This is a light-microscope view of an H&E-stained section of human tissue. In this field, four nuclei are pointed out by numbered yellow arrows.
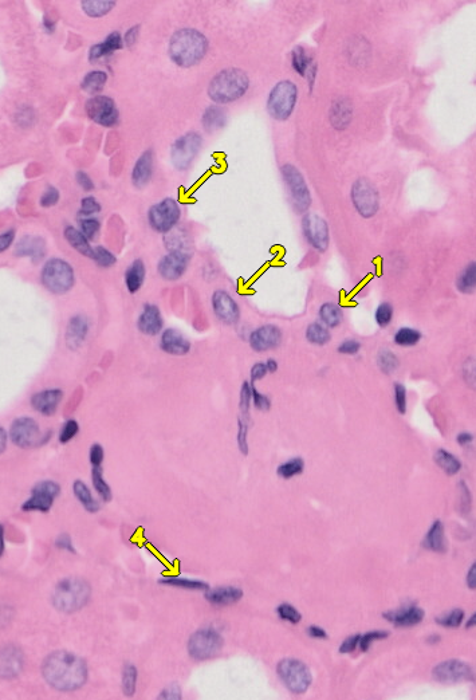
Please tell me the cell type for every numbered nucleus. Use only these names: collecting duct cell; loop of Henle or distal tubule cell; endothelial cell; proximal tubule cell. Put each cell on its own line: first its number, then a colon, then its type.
1: collecting duct cell
2: collecting duct cell
3: collecting duct cell
4: endothelial cell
